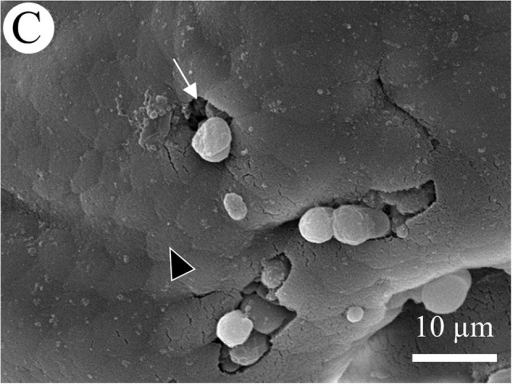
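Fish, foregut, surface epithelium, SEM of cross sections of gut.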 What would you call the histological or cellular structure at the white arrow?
Mucus secretion.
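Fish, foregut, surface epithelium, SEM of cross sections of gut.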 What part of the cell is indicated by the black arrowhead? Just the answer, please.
Apical tips of enterocyte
